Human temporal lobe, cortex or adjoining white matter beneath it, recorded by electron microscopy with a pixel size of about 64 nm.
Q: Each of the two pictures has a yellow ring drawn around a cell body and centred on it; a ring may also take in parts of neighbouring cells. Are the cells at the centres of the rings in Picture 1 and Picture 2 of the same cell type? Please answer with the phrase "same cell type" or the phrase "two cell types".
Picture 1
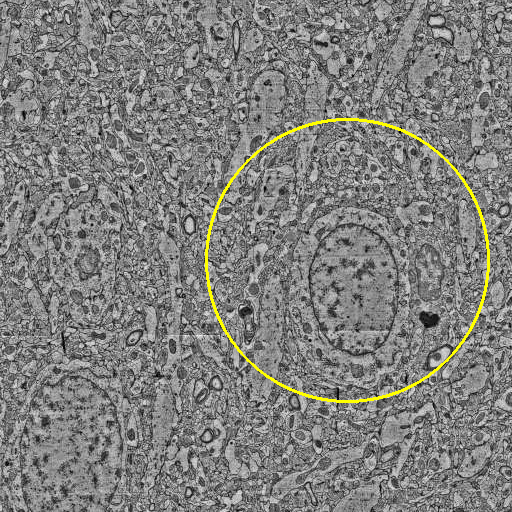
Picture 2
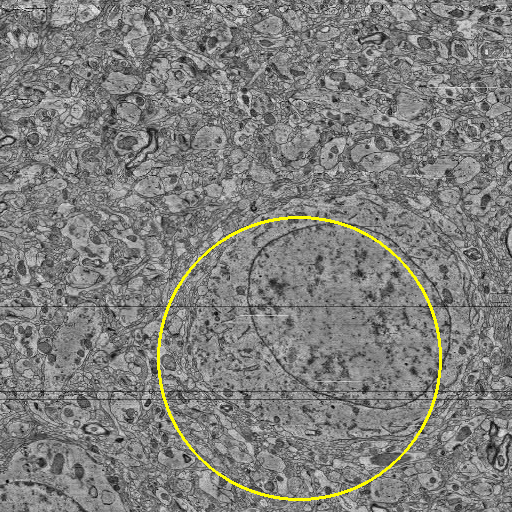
same cell type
